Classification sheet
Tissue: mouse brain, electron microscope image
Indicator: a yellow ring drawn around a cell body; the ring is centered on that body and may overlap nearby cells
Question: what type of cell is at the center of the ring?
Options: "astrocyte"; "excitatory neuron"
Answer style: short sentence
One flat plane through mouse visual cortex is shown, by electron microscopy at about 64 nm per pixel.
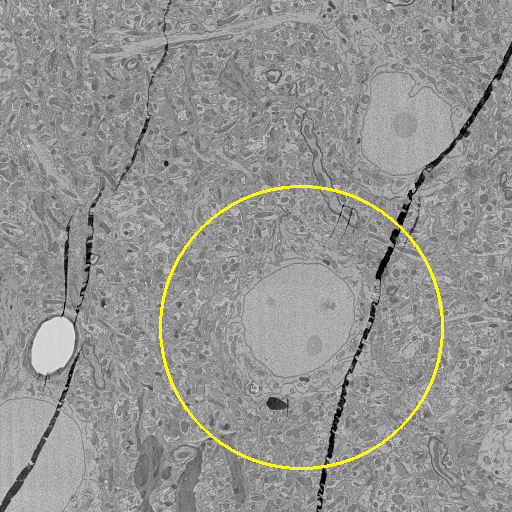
At the ring's center is an excitatory neuron.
